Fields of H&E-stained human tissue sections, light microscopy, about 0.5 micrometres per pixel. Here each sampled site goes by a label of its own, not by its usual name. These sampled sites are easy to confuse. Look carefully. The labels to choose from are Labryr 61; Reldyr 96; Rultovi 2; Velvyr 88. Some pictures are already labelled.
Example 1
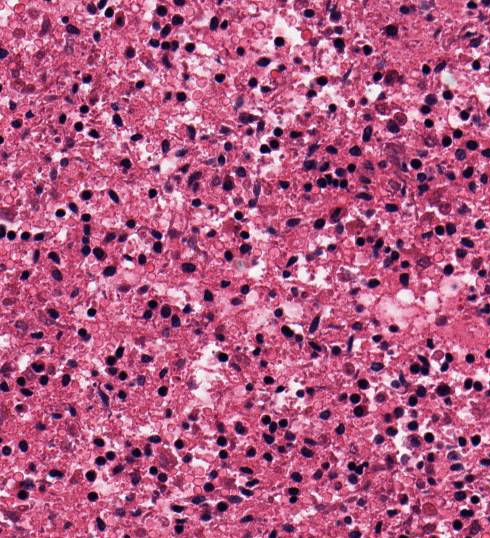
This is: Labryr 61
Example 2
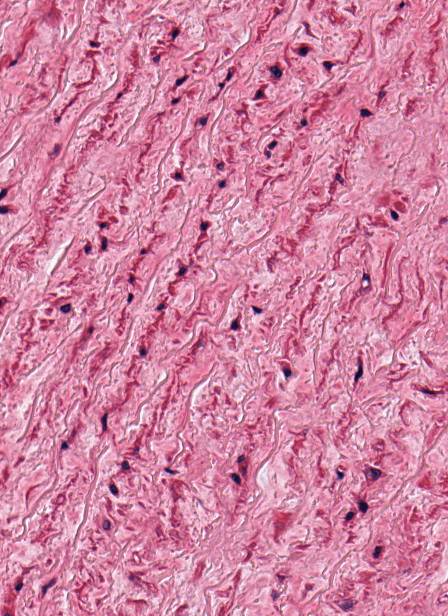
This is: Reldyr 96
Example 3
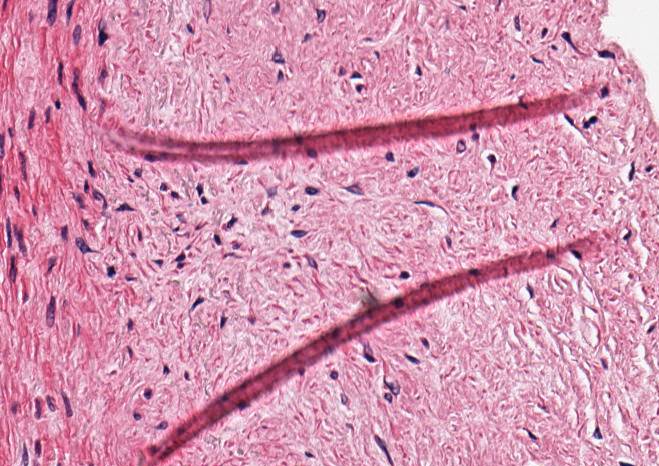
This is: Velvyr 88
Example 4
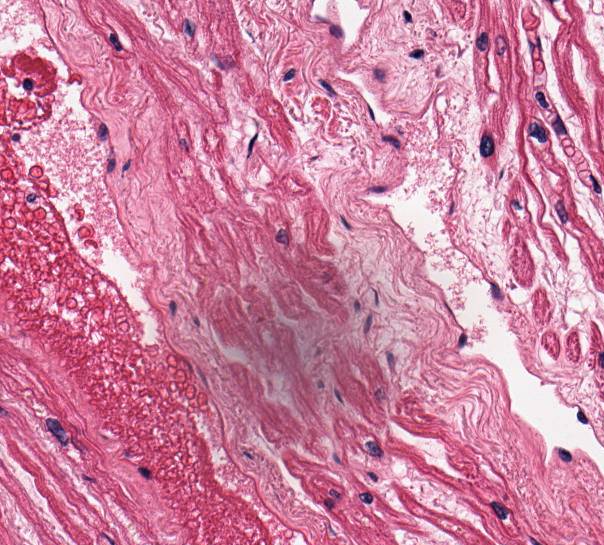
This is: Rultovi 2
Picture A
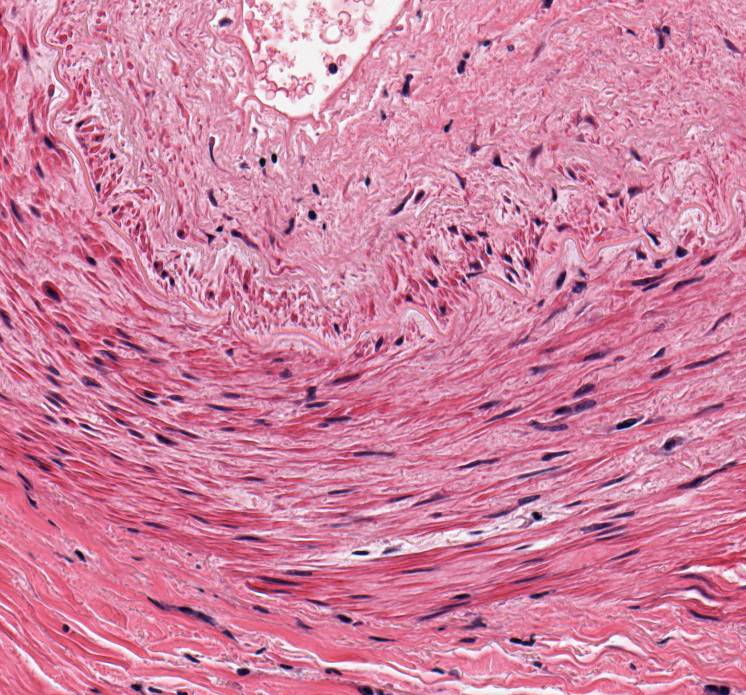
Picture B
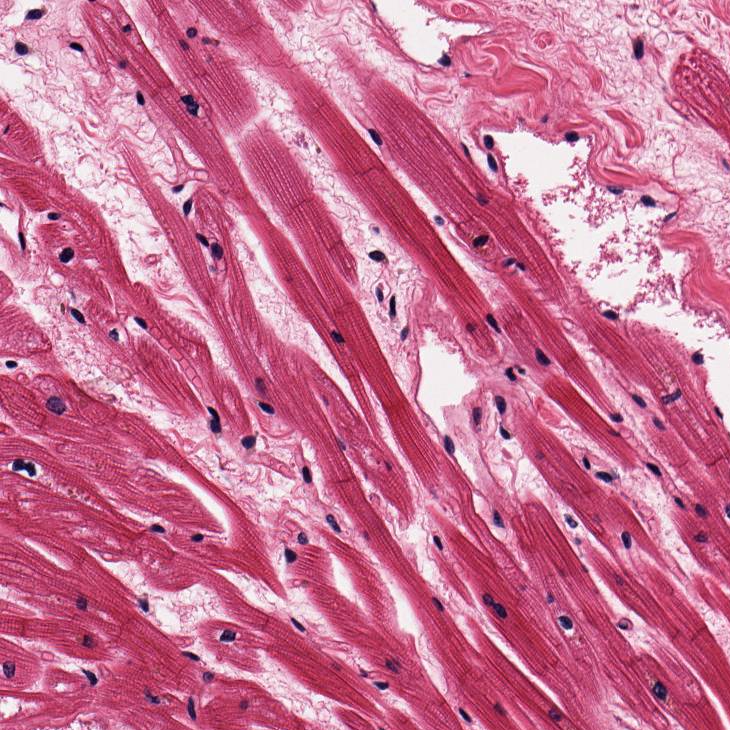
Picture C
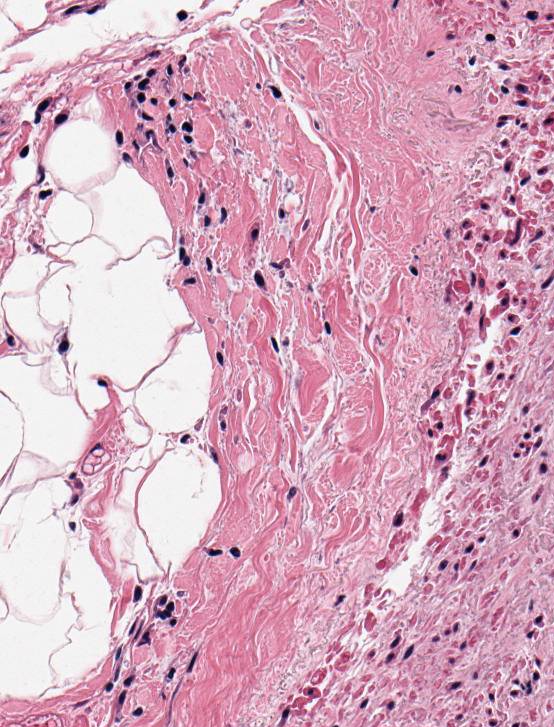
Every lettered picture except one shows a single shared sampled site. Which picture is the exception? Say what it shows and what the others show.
B differs and shows Rultovi 2; the others show Velvyr 88.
